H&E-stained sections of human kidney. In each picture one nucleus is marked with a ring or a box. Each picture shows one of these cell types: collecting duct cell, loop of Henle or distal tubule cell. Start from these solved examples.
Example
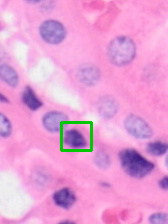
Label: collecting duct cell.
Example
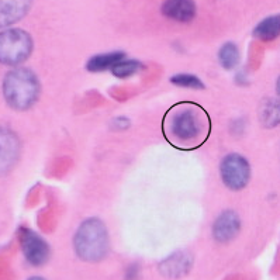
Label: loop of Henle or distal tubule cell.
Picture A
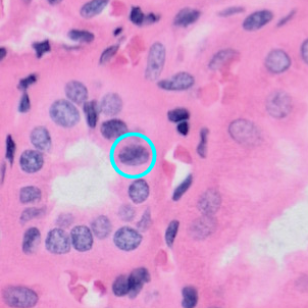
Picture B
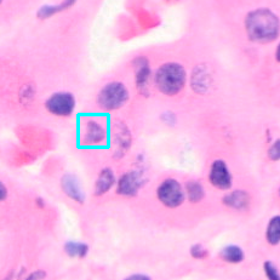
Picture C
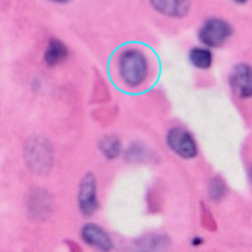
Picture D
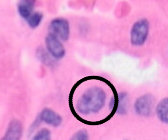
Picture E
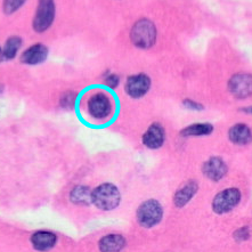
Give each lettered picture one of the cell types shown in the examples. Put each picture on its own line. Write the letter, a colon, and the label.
A: collecting duct cell.
B: collecting duct cell.
C: loop of Henle or distal tubule cell.
D: collecting duct cell.
E: loop of Henle or distal tubule cell.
